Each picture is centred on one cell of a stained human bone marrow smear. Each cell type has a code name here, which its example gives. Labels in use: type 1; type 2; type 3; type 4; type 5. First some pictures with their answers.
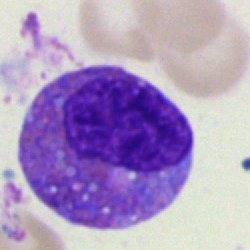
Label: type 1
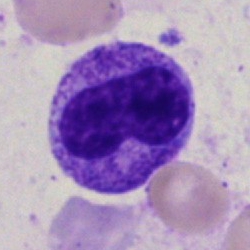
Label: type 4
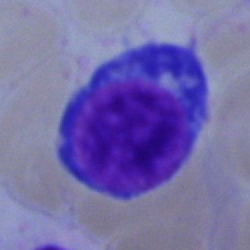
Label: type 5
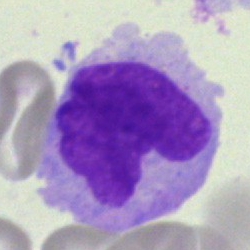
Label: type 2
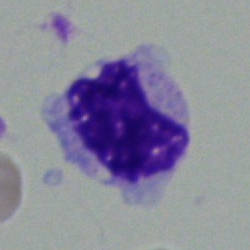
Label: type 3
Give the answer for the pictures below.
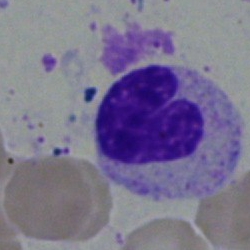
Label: type 4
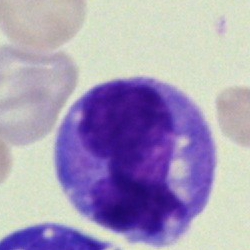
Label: type 2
